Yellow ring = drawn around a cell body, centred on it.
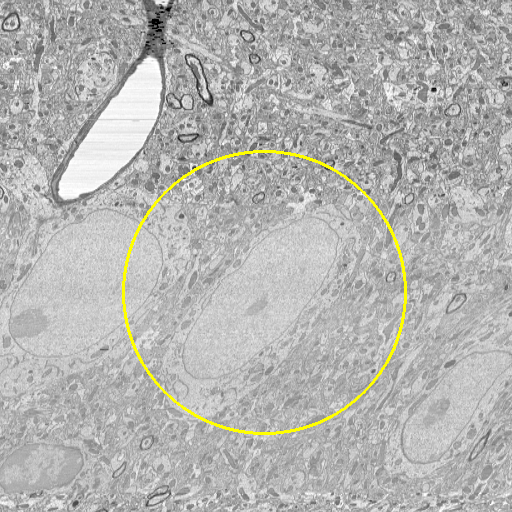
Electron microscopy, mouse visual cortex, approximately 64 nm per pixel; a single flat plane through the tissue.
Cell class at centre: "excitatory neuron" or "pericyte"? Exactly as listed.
excitatory neuron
